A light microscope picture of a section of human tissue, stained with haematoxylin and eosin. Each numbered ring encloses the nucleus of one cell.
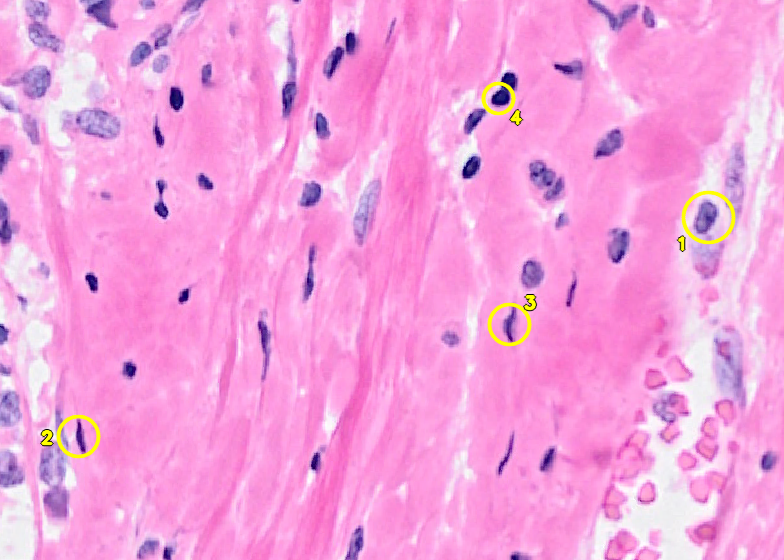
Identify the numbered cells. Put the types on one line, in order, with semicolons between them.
lymphocyte; fibroblast; fibroblast; lymphocyte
